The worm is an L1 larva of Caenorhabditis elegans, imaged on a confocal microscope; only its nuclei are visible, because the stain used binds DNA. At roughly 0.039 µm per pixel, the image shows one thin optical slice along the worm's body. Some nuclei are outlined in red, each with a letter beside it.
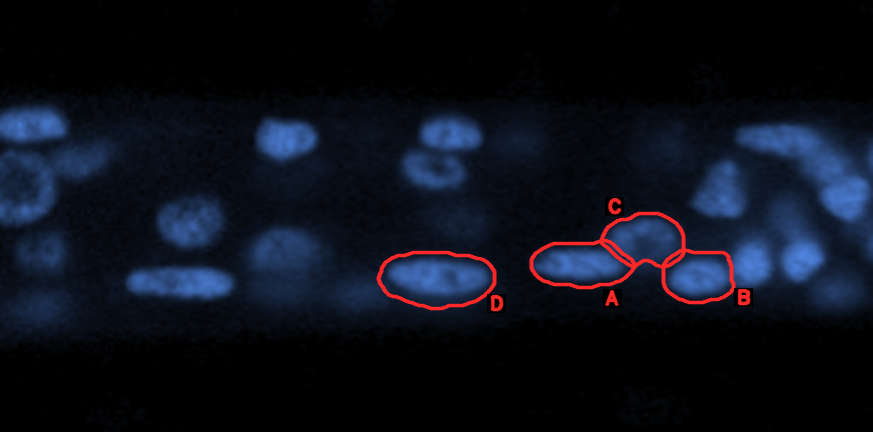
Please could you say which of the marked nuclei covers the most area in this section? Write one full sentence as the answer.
D is the one with the largest cut area.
